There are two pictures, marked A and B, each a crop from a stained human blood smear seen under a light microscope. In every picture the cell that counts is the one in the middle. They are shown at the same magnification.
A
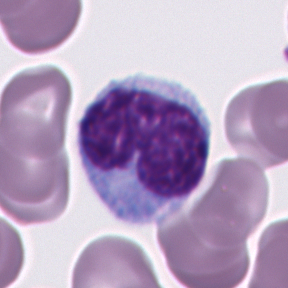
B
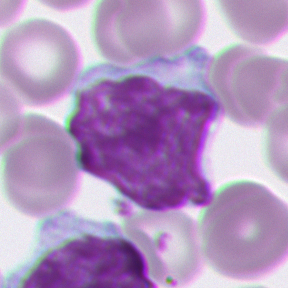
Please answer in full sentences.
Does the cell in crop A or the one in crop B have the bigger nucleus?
Larger is the nucleus in crop B, at roughly 1.5 times the area of the other.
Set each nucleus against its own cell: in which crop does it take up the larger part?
Of the two, the nucleus in crop B makes up the greater part of its cell.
